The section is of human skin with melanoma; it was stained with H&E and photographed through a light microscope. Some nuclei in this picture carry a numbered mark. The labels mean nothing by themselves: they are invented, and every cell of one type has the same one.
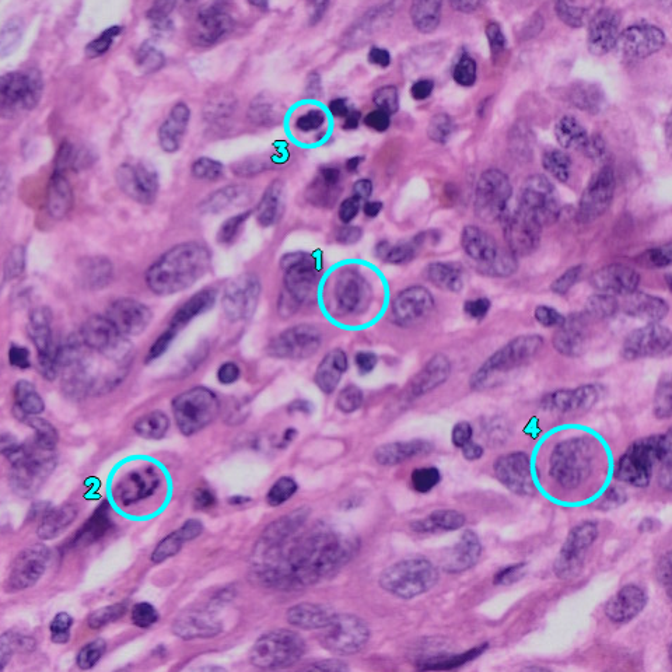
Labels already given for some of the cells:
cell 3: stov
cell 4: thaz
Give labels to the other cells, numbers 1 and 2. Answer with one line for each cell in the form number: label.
1: thaz
2: thaz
